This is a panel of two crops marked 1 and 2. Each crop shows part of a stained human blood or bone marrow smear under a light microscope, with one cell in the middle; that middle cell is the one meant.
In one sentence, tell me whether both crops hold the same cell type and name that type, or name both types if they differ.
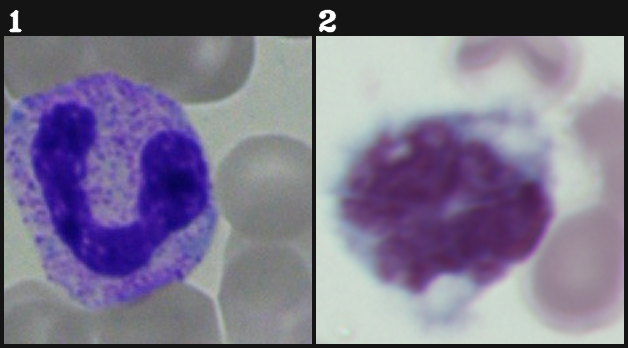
No, record crop 1 as a band neutrophil and crop 2 as a monocyte.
